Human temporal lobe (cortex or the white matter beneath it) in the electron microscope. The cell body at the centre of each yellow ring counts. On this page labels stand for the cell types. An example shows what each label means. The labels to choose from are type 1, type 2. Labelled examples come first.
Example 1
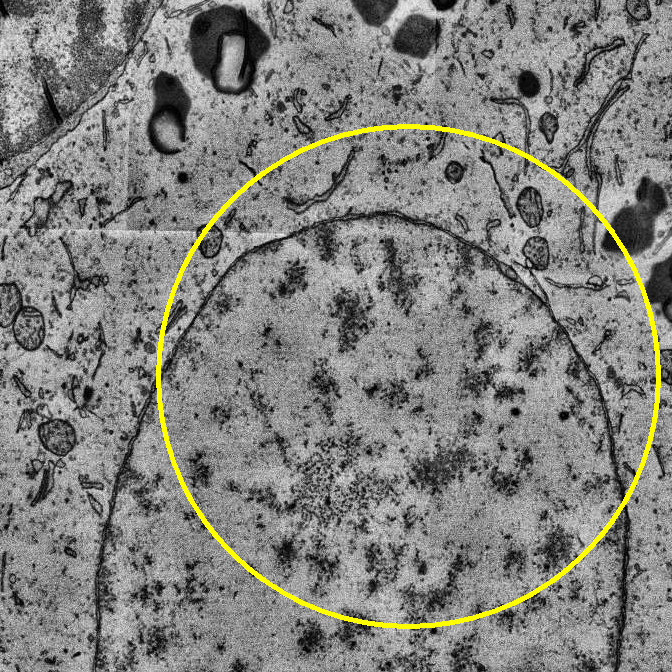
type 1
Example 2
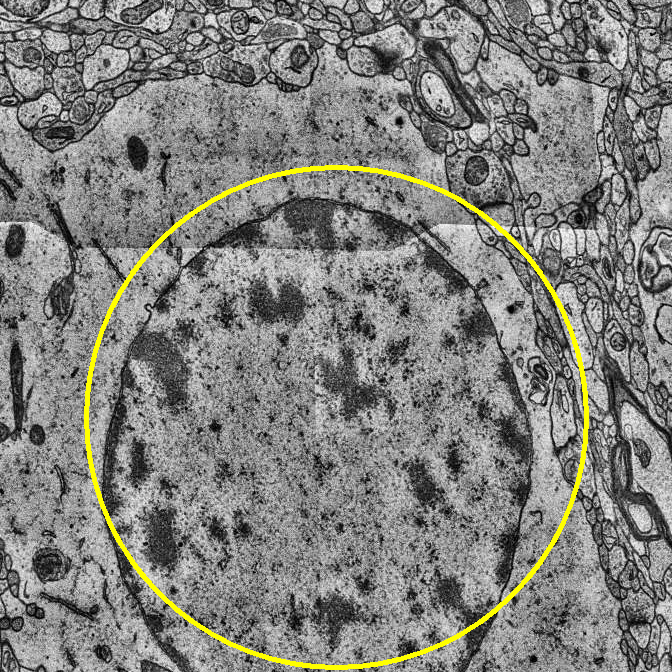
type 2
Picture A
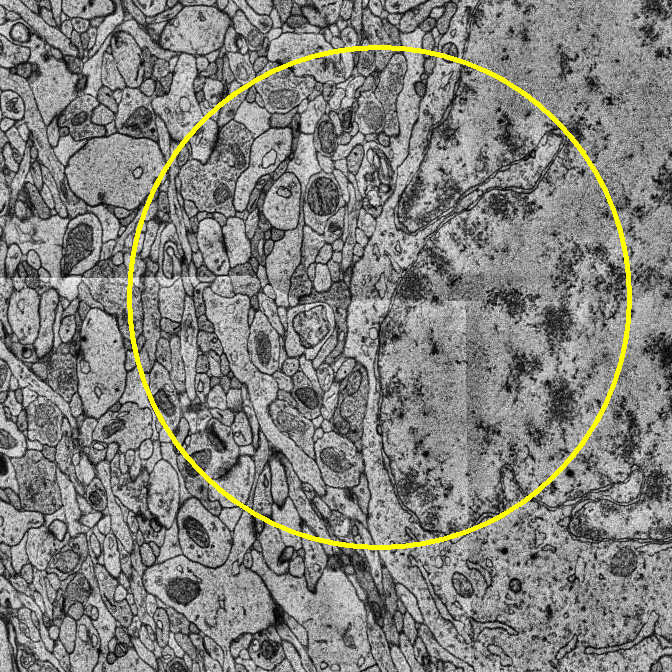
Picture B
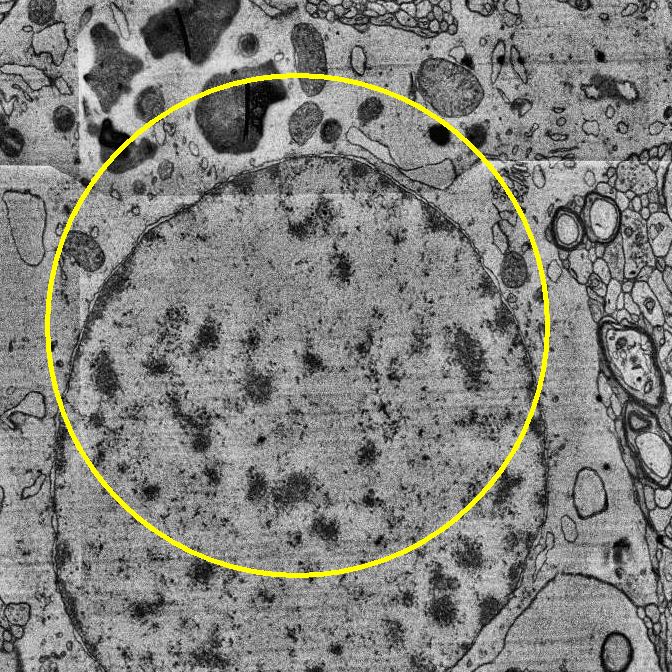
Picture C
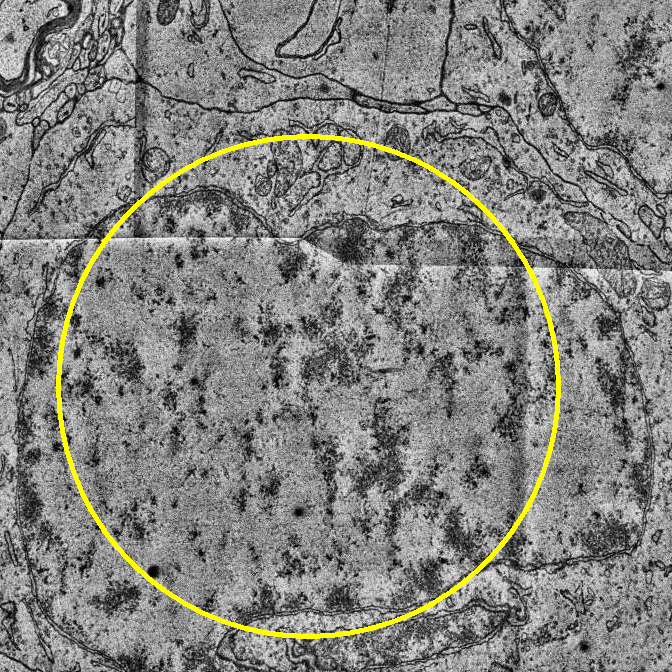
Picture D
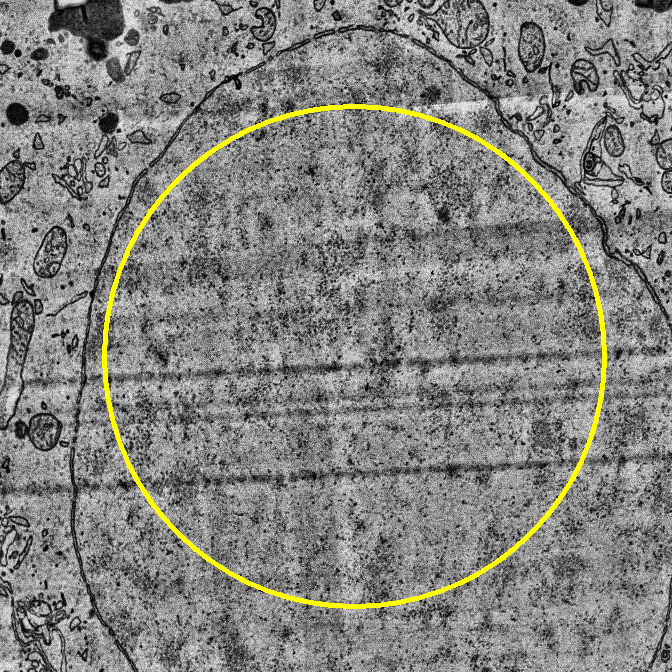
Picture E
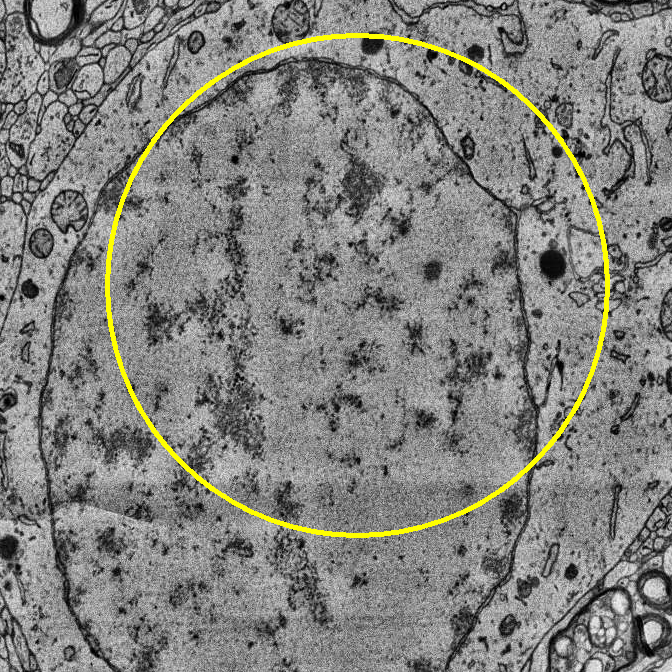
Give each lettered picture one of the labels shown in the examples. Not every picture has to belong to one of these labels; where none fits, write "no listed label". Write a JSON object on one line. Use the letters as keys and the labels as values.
{"A": "no listed label", "B": "type 2", "C": "no listed label", "D": "type 1", "E": "type 1"}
